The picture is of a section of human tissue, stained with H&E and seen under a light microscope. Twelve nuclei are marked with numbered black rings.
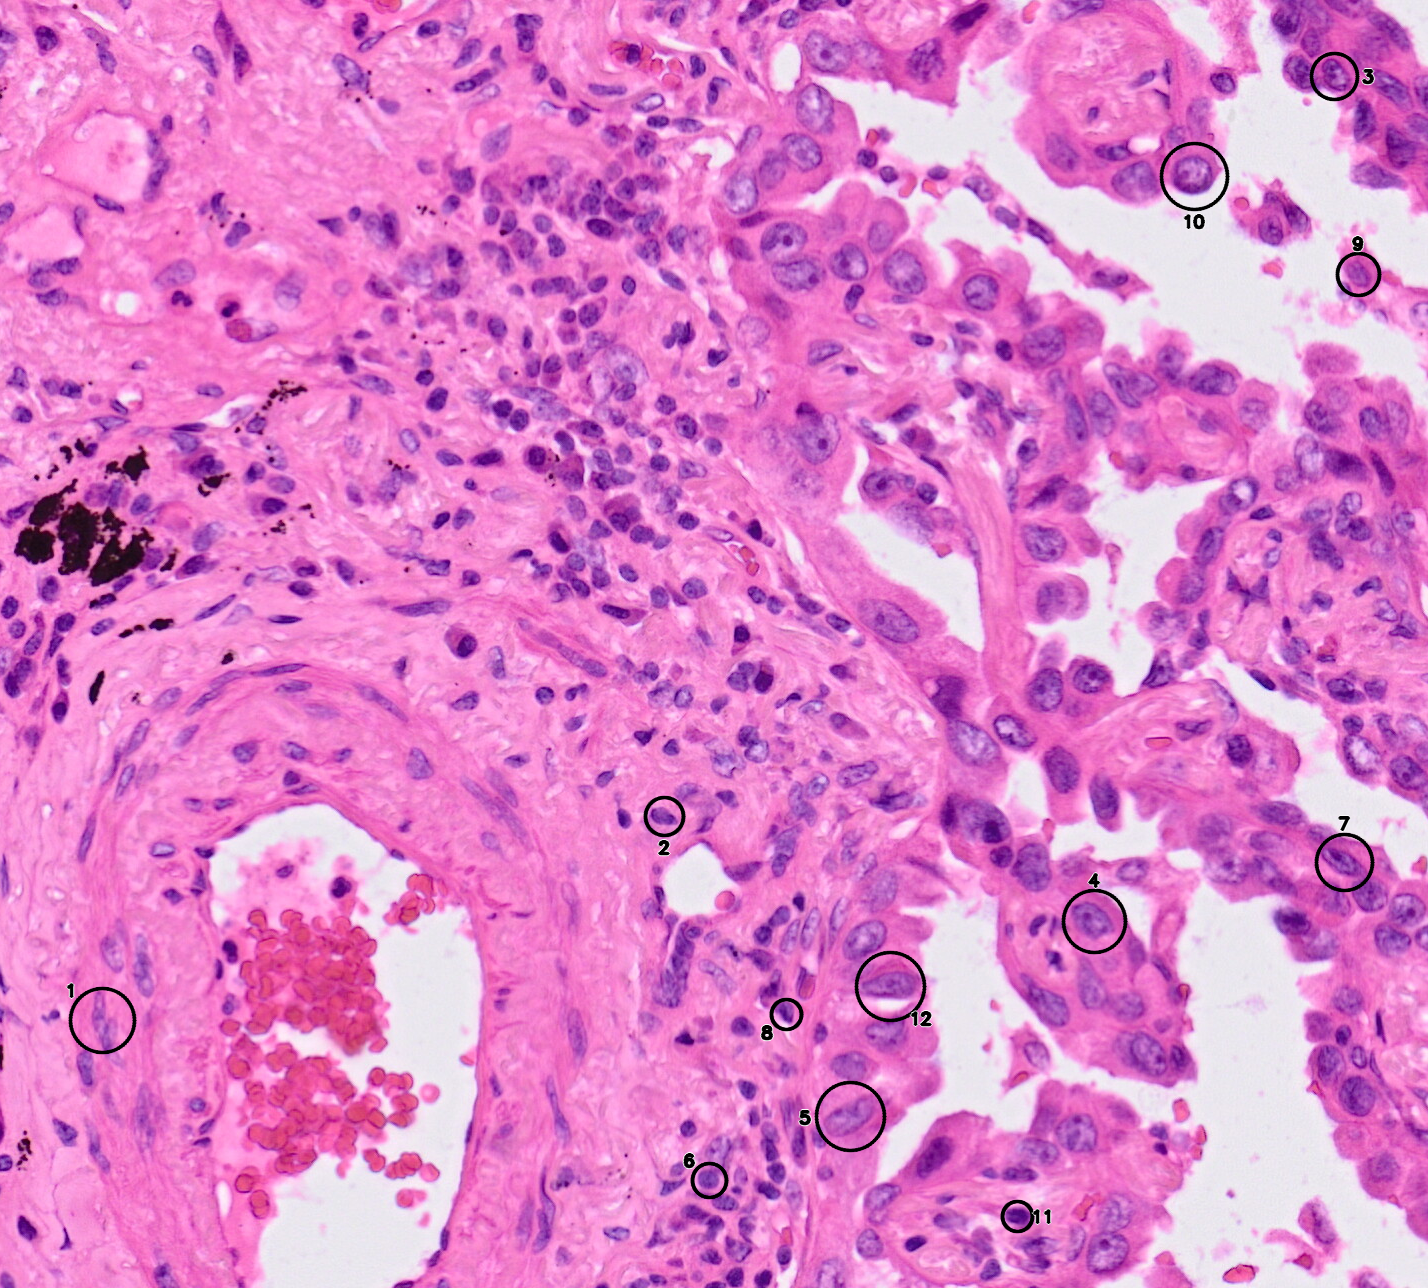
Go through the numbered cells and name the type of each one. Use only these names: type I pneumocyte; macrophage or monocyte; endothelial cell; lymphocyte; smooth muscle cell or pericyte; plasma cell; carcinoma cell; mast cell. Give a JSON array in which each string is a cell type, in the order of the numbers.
["smooth muscle cell or pericyte", "lymphocyte", "carcinoma cell", "carcinoma cell", "carcinoma cell", "lymphocyte", "carcinoma cell", "lymphocyte", "macrophage or monocyte", "carcinoma cell", "lymphocyte", "carcinoma cell"]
